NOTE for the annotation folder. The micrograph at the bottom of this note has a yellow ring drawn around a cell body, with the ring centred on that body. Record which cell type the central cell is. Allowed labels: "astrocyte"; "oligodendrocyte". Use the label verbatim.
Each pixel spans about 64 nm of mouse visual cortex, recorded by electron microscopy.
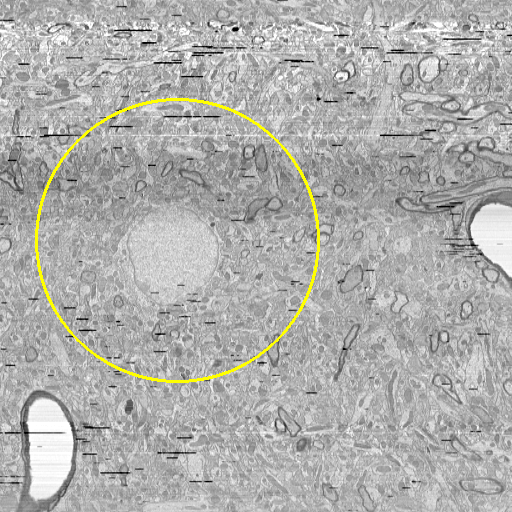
astrocyte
